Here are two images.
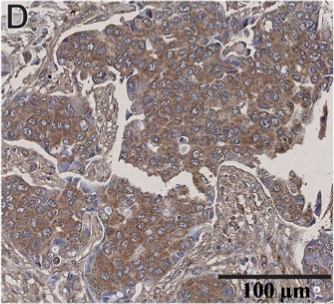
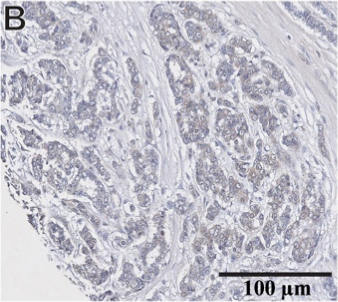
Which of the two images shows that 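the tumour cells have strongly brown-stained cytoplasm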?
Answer: The first image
